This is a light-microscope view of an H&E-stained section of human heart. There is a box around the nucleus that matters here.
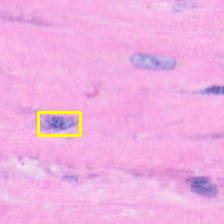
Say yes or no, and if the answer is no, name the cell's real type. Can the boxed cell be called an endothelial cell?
Yes.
